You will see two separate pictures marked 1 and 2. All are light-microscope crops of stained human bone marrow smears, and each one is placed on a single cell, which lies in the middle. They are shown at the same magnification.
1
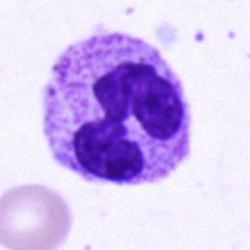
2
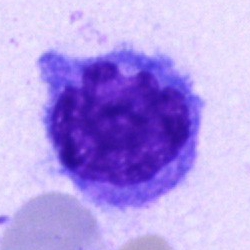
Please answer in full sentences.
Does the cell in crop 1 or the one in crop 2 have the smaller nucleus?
Smaller is the nucleus in crop 1, and the other is about 1.5 times as large in area.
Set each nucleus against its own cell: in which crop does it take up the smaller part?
In crop 1 the nucleus takes up the smaller part of its cell.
